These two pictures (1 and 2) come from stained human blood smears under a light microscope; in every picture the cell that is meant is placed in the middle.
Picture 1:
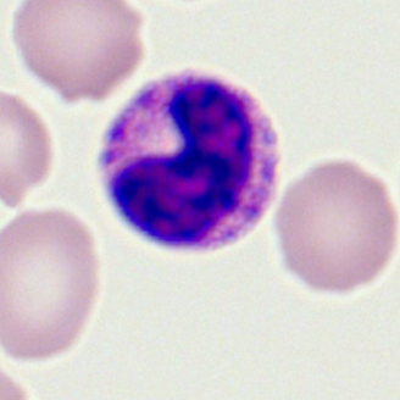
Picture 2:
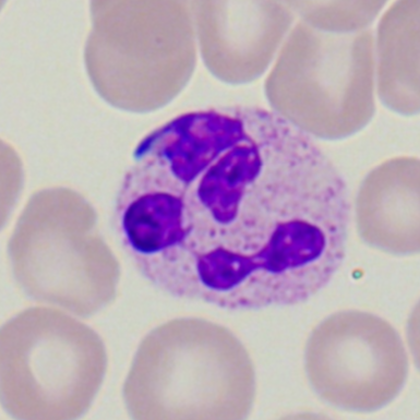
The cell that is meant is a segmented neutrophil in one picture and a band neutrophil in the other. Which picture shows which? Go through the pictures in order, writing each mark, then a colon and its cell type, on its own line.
1: band neutrophil
2: segmented neutrophil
